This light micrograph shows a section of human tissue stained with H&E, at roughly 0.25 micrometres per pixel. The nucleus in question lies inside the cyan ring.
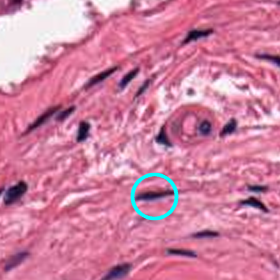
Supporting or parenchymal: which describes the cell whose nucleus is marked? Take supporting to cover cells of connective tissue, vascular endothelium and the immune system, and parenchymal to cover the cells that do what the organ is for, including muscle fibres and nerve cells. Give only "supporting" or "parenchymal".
supporting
